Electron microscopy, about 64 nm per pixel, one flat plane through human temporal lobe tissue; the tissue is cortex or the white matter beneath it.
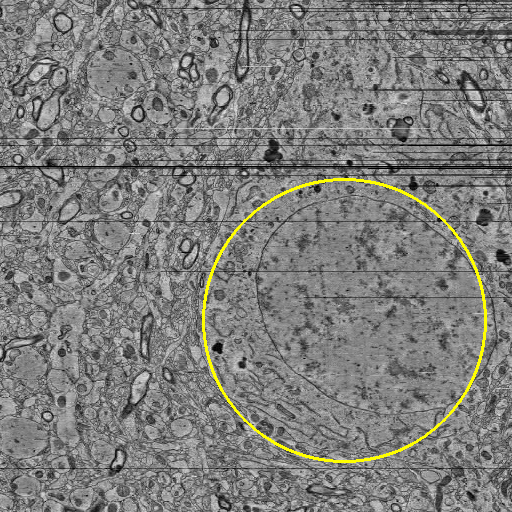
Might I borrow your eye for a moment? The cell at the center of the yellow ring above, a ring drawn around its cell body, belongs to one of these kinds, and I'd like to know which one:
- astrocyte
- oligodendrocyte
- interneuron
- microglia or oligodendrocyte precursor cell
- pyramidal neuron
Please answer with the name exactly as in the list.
pyramidal neuron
